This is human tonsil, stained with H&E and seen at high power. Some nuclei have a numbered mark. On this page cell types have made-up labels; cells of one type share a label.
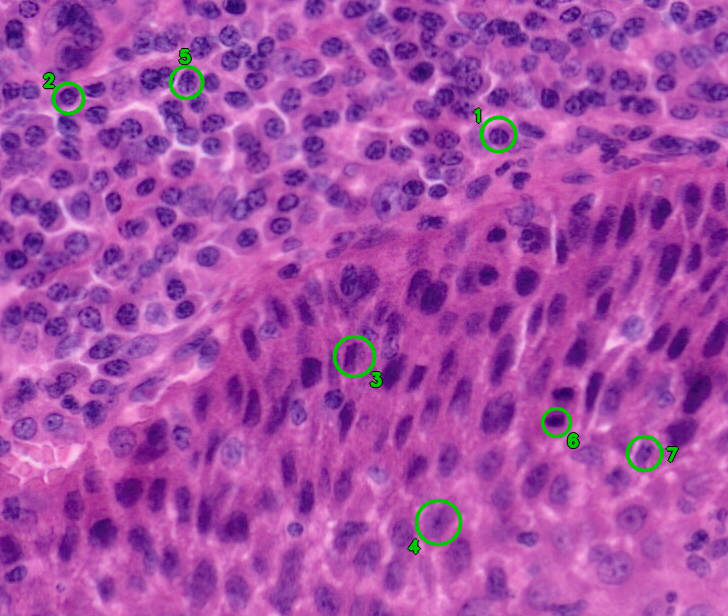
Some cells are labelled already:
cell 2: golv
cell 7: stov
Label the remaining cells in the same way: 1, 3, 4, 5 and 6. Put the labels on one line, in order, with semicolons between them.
golv; stov; stov; golv; stov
